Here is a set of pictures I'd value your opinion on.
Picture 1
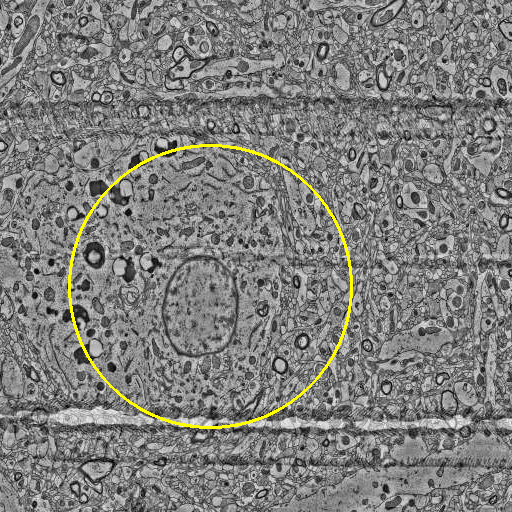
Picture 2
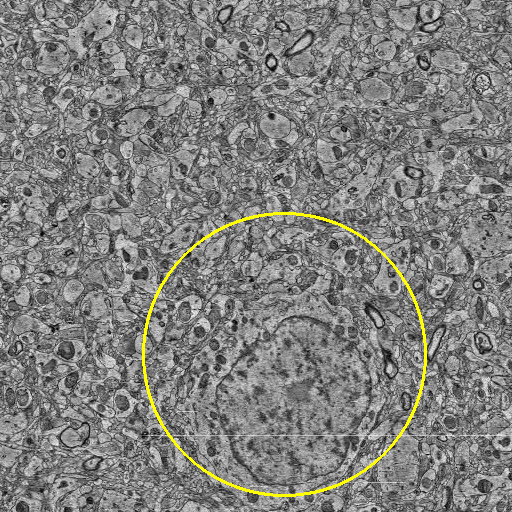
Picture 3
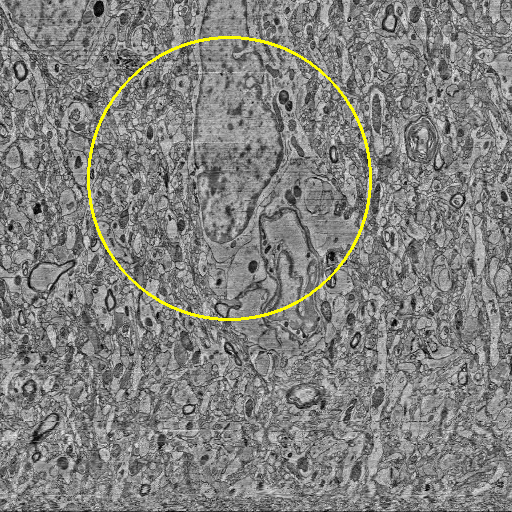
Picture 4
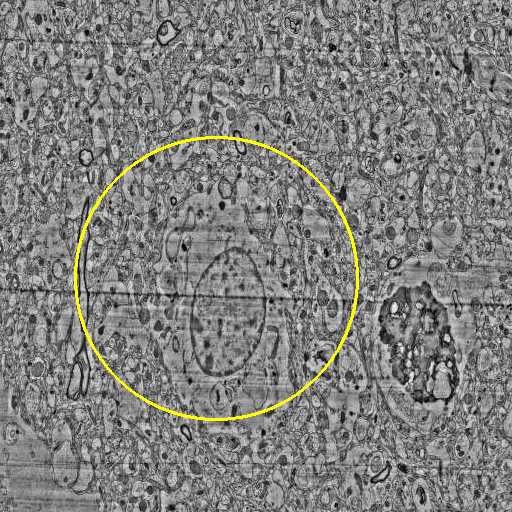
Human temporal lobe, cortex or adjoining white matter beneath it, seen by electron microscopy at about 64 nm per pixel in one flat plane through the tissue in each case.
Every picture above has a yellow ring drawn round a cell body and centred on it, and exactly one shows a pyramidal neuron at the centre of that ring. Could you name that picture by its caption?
Picture 1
